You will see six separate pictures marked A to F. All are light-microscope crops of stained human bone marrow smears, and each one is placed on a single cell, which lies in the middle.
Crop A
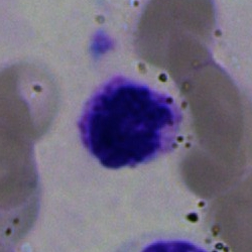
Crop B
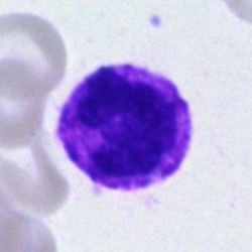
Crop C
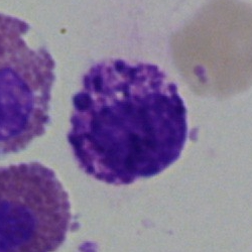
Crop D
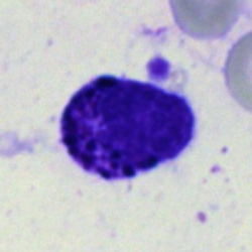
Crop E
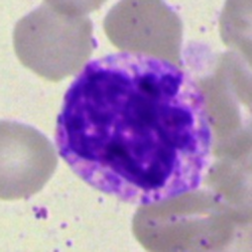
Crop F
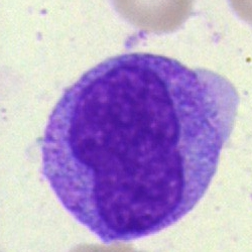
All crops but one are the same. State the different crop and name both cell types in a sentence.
The different crop is F; it is a promyelocyte, and the others all show basophils.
